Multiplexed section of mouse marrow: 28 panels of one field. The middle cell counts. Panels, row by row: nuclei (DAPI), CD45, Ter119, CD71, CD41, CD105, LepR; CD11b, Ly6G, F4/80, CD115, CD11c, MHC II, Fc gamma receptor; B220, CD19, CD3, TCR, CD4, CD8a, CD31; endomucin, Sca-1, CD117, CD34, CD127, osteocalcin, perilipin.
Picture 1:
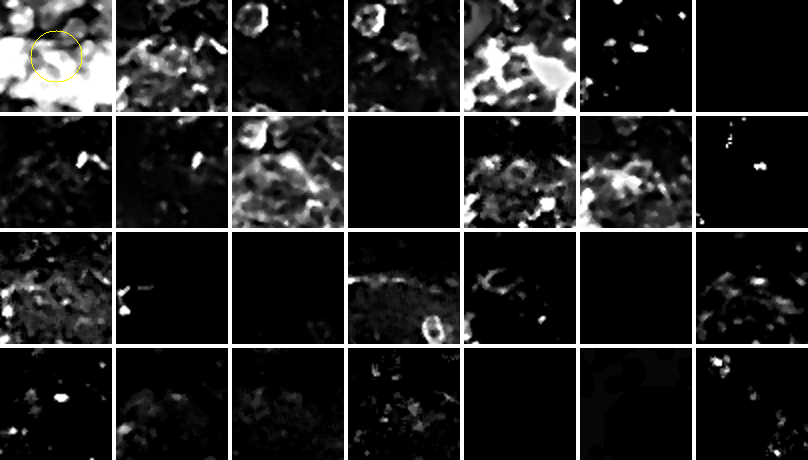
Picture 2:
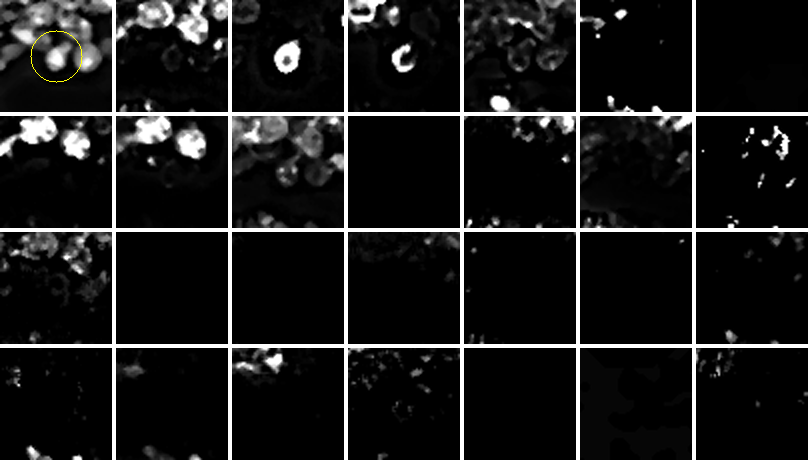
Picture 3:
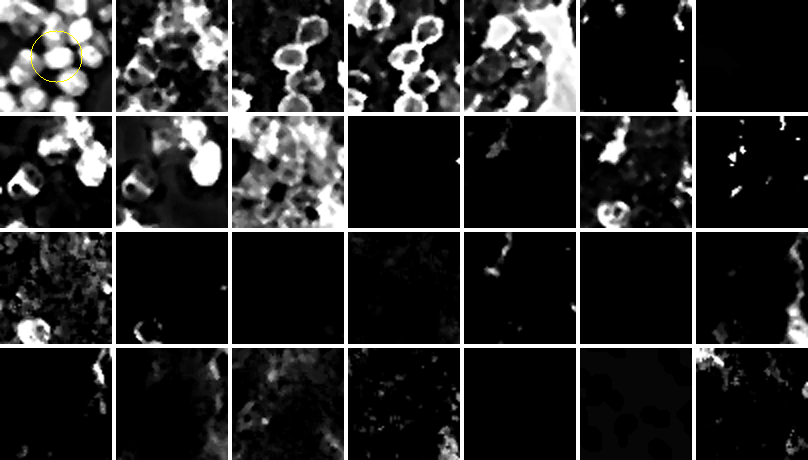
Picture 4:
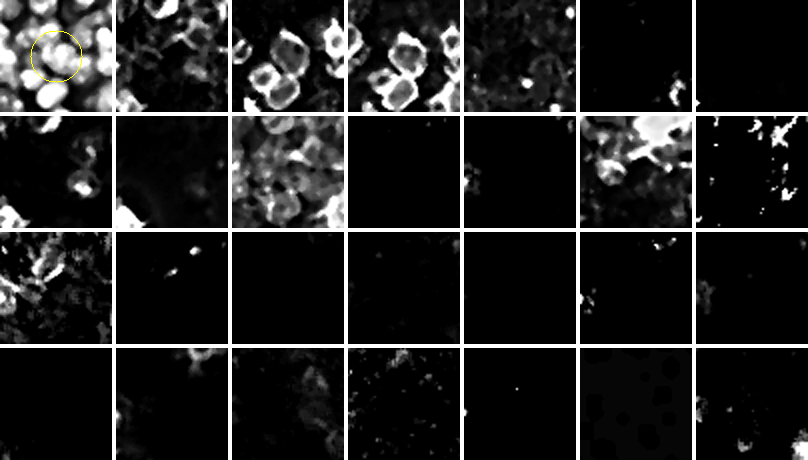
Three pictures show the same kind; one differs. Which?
Picture 1: a conventional dendritic cell, while the others are erythroblasts.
